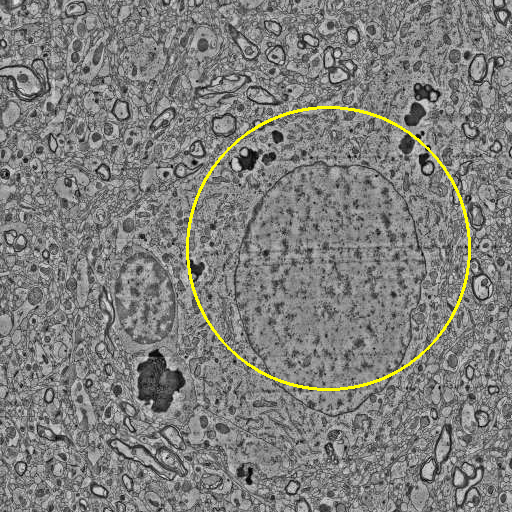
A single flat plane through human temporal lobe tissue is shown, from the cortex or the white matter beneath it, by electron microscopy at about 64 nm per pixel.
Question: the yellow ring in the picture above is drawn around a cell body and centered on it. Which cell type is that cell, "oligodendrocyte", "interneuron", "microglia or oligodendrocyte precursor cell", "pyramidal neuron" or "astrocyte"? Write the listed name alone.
pyramidal neuron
